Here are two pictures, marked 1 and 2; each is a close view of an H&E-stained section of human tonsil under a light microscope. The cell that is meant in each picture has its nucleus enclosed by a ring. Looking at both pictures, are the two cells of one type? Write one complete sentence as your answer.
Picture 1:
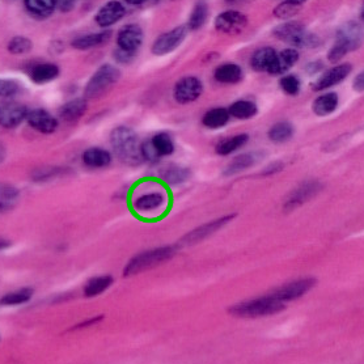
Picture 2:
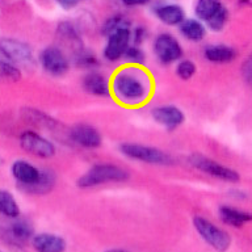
Yes, they are the same type: both are mast cells.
